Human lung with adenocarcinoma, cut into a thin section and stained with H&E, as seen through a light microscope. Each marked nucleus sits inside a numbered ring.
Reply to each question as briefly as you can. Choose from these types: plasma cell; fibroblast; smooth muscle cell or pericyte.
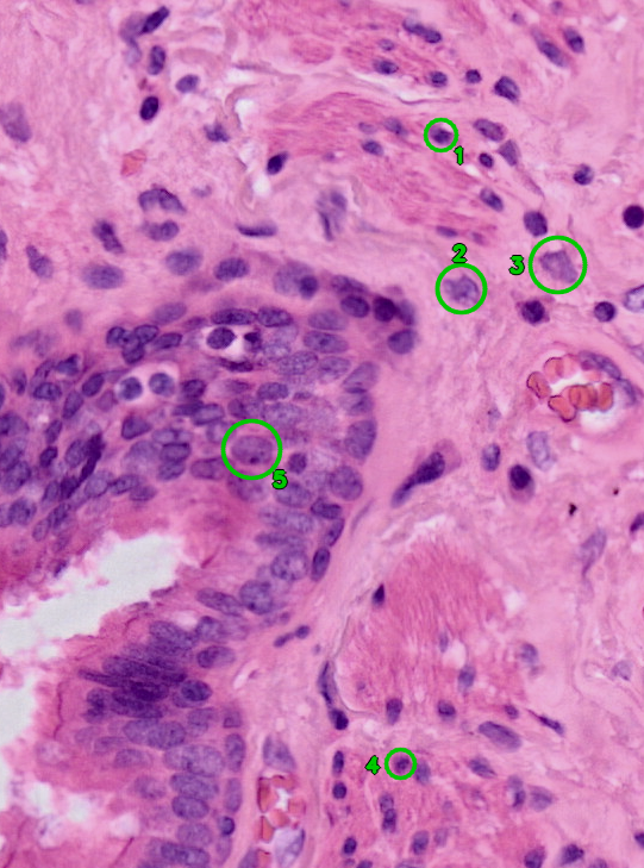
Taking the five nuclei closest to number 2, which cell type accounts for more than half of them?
plasma cell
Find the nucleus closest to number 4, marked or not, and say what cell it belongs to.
smooth muscle cell or pericyte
